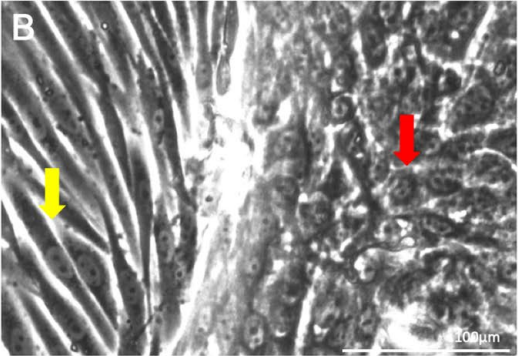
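The fibroblasts are long and spindle-shaped, lying parallel to one another, each with an oval nucleus and visible nucleoli. The epithelial cells are polygonal and tightly packed like paving stones, each with a round central nucleus. A bright band runs between the two populations, marking where they meet. The contrast in form between the streaming spindles and the compact polygons is the main feature of the field.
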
